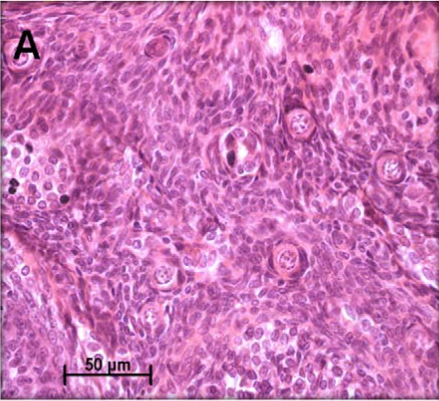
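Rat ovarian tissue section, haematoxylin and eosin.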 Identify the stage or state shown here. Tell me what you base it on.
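Primordial. Several small oocytes lie scattered in dense stroma. Each oocyte is surrounded by only a thin rim of flattened cells.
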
